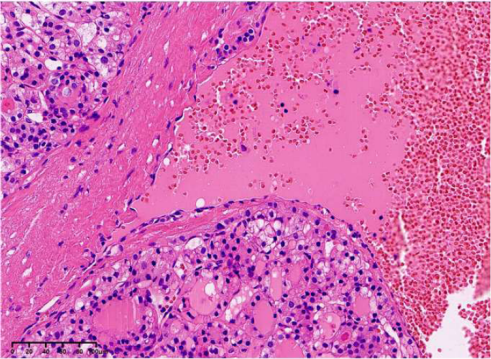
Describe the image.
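A rounded nest of thyroid follicular tumour cells pushes into a wide lumen that is filled with pink plasma and many red blood cells. The tumour cells have round dark nuclei and pale, partly cleared cytoplasm. They form small follicles, some of which hold pink colloid. A thin layer of flattened cells and fibrous tissue lines the nest where it faces the blood. Above and to the left there is a band of pink fibrous tissue, with more tumour follicles beyond it. Tumour tissue protruding into a blood-filled vascular space in this way is the picture of angioinvasion.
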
